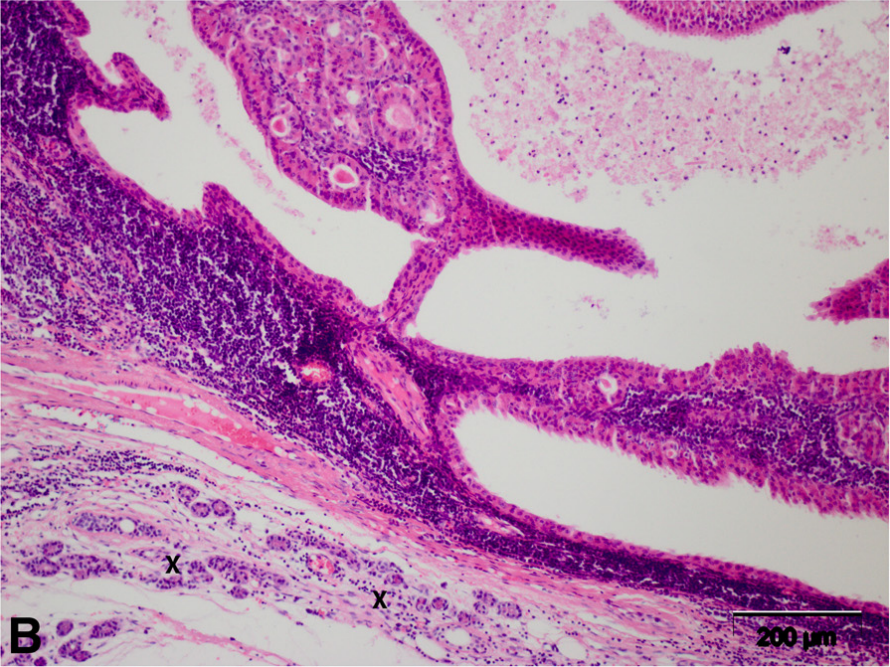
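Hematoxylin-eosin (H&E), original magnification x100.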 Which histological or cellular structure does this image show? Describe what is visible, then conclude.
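Papillary folds covered by a layer of pink columnar epithelium project into cystic spaces. The cystic spaces hold pale pink fluid. Dense sheets of small dark lymphocytes lie beneath the epithelium.
Answer: glandular-epithelial formations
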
